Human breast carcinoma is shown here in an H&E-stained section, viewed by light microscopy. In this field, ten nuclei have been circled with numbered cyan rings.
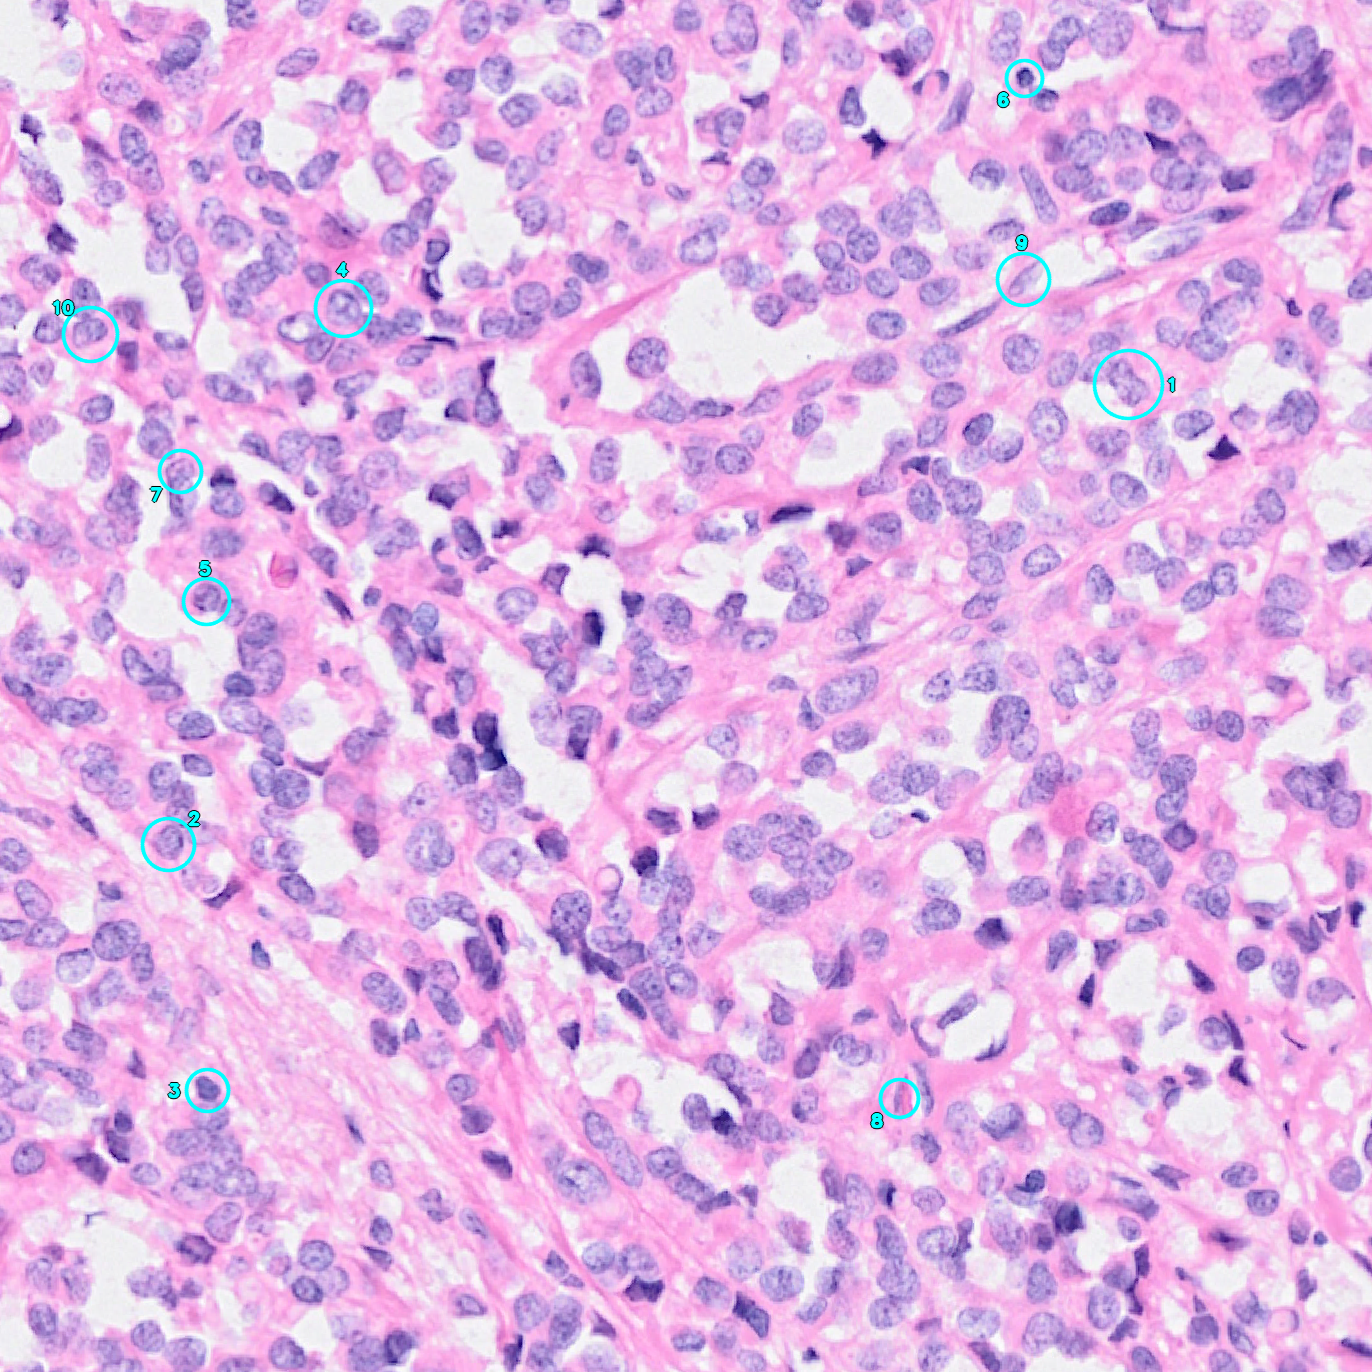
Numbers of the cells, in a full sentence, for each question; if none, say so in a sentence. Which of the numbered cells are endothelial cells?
Classified as endothelial cells are the cells numbered 8 and 9.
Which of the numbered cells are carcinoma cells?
Cells 1, 2, 4, 5, 7 and 10 share one type; they are carcinoma cells.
